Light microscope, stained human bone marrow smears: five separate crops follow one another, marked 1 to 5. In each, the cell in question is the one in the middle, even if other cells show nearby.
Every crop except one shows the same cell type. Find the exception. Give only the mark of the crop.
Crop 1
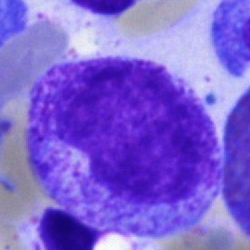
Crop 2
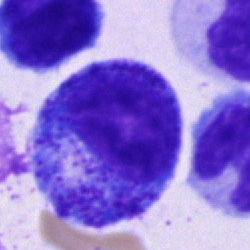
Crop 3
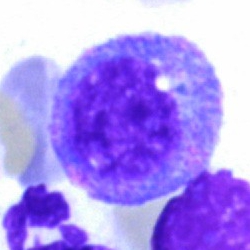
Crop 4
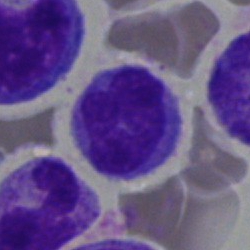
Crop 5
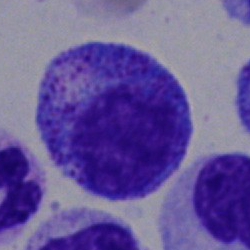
4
